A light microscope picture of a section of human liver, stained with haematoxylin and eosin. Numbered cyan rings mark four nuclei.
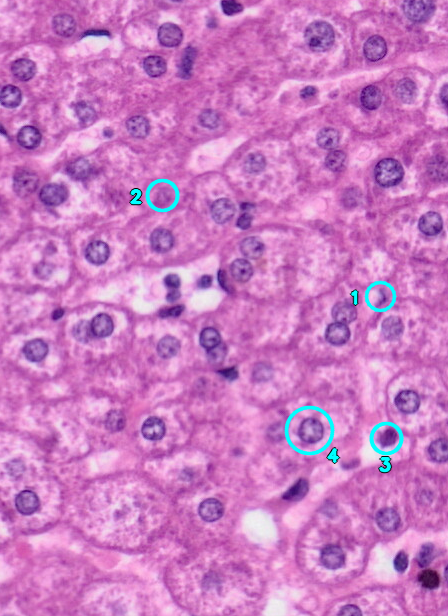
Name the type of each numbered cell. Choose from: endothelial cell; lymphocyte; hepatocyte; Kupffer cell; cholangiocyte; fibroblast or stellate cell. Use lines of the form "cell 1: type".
cell 1: endothelial cell
cell 2: hepatocyte
cell 3: Kupffer cell
cell 4: hepatocyte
